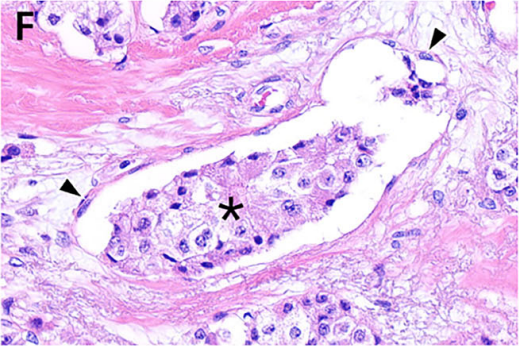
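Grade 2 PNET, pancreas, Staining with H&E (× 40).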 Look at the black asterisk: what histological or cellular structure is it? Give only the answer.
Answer: Tumor embolus.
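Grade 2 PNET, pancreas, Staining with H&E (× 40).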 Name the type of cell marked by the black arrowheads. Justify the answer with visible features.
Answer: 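Vascular endothelial cells. Flat cells with thin, dark elongated nuclei line the wall of an elongated lumen.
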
